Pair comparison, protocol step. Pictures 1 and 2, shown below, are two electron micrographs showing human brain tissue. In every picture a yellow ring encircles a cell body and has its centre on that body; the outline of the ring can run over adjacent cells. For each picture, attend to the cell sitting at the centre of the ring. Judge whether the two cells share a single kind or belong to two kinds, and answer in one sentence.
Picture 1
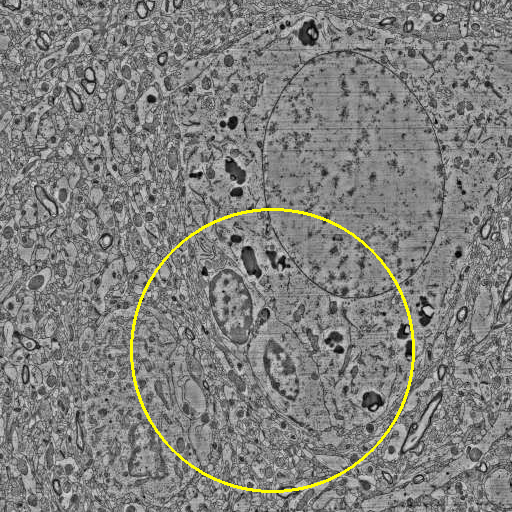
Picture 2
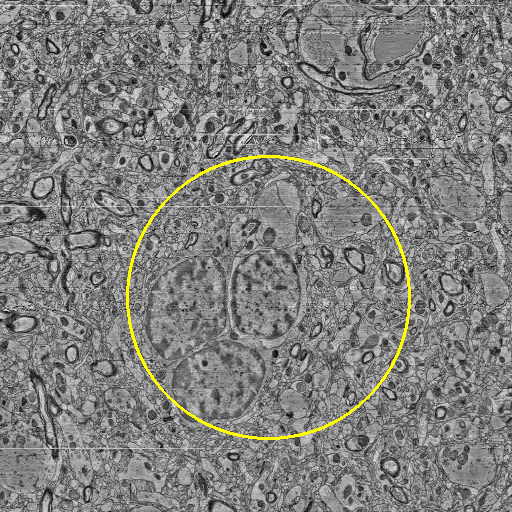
The two cells at the ring centres in Picture 1 and Picture 2 share a single kind.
